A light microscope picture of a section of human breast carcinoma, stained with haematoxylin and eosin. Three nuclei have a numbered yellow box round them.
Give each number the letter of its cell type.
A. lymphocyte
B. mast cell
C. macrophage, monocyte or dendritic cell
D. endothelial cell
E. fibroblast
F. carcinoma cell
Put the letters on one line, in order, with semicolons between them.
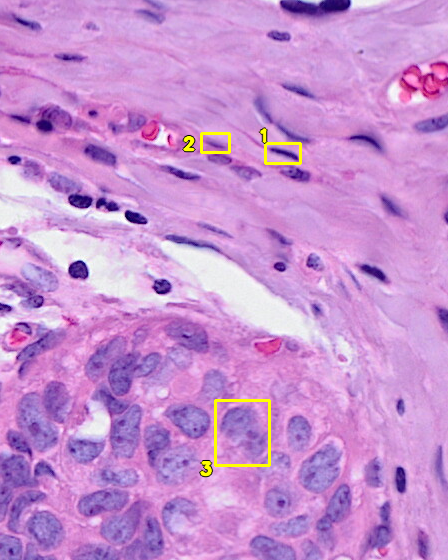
E; E; F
